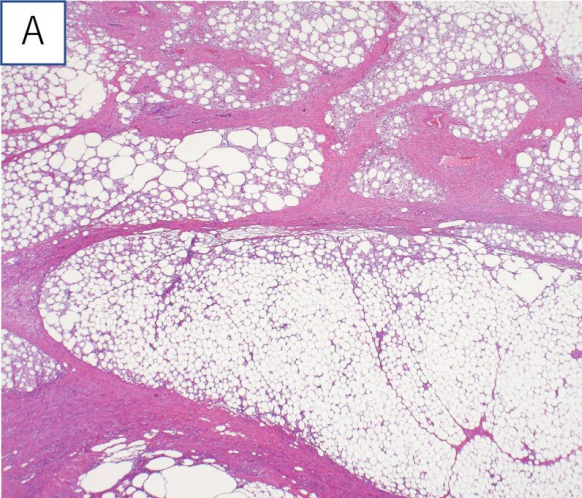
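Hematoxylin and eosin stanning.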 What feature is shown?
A: broad fibrous bands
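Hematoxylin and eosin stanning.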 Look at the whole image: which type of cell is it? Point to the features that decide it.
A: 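Lobules are made of many empty, round to polygonal vacuoles. The vacuoles are bounded by thin membranes, as in fat cells.
Hence: mature adipocytes.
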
